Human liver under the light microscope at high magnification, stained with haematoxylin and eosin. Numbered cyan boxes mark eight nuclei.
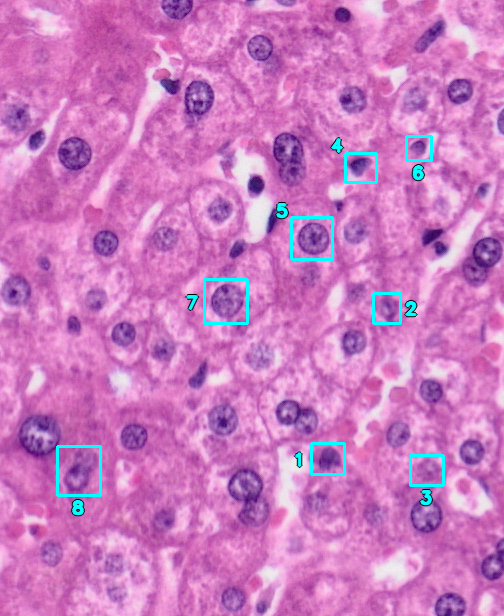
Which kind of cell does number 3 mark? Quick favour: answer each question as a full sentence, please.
Cell 3 should be recorded as a hepatocyte.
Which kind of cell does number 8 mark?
In this section, number 8 marks a hepatocyte.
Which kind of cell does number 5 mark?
Identified by the number 5, the cell is a hepatocyte.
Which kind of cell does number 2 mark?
The cell numbered 2 has been identified as a hepatocyte.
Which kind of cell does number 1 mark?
Identified by the number 1, the cell is a fibroblast or stellate cell.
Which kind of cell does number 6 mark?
The nucleus labeled 6 belongs to a Kupffer cell.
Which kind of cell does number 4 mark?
The cell marked with number 4 is an endothelial cell.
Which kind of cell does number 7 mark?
Cell 7 should be recorded as a hepatocyte.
